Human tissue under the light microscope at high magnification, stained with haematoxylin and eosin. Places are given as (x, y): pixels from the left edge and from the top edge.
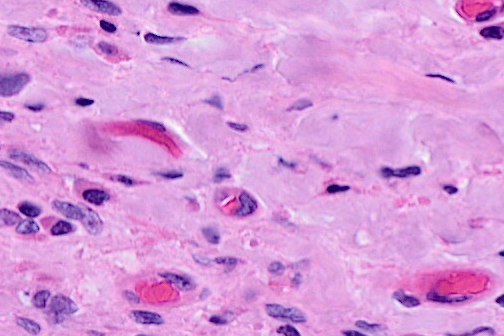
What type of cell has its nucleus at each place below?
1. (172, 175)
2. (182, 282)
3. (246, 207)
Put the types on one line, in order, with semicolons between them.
fibroblast; endothelial cell; endothelial cell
